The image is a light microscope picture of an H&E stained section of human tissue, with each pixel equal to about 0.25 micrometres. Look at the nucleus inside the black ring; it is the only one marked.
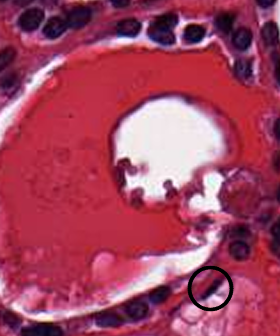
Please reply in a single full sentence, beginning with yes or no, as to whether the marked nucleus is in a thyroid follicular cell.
No, the marked nucleus is the nucleus of a supporting cell rather than of a thyroid follicular cell.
